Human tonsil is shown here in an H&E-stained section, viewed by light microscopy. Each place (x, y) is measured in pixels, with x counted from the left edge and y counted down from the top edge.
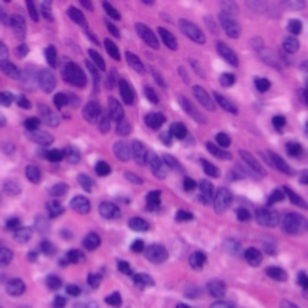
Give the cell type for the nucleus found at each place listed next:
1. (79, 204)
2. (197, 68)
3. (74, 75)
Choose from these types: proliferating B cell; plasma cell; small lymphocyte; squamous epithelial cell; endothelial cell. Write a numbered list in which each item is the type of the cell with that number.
1. plasma cell
2. squamous epithelial cell
3. squamous epithelial cell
